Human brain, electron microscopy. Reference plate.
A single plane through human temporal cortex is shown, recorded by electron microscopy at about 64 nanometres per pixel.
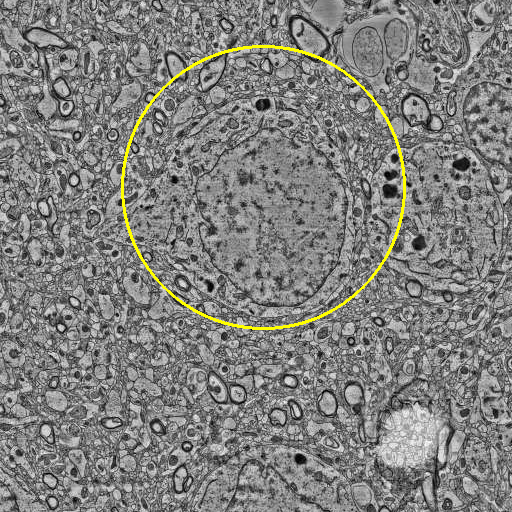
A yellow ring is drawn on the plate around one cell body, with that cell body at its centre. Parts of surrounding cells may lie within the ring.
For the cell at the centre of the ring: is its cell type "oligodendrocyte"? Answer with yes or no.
No, its cell type is another one.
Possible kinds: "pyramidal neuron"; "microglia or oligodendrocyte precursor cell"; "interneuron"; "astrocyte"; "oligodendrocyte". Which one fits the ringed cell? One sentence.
Instead, what sits at the centre of the ring is a pyramidal neuron.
